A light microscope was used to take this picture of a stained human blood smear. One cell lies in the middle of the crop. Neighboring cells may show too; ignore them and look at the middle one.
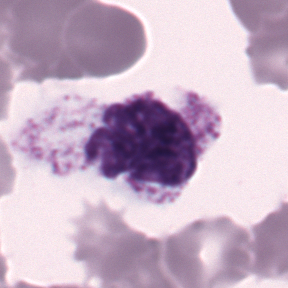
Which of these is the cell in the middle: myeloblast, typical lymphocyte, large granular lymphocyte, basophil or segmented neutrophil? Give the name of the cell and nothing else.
basophil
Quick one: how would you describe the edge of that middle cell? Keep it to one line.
A smooth outline is absent here, replaced by ragged stretches or projections.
